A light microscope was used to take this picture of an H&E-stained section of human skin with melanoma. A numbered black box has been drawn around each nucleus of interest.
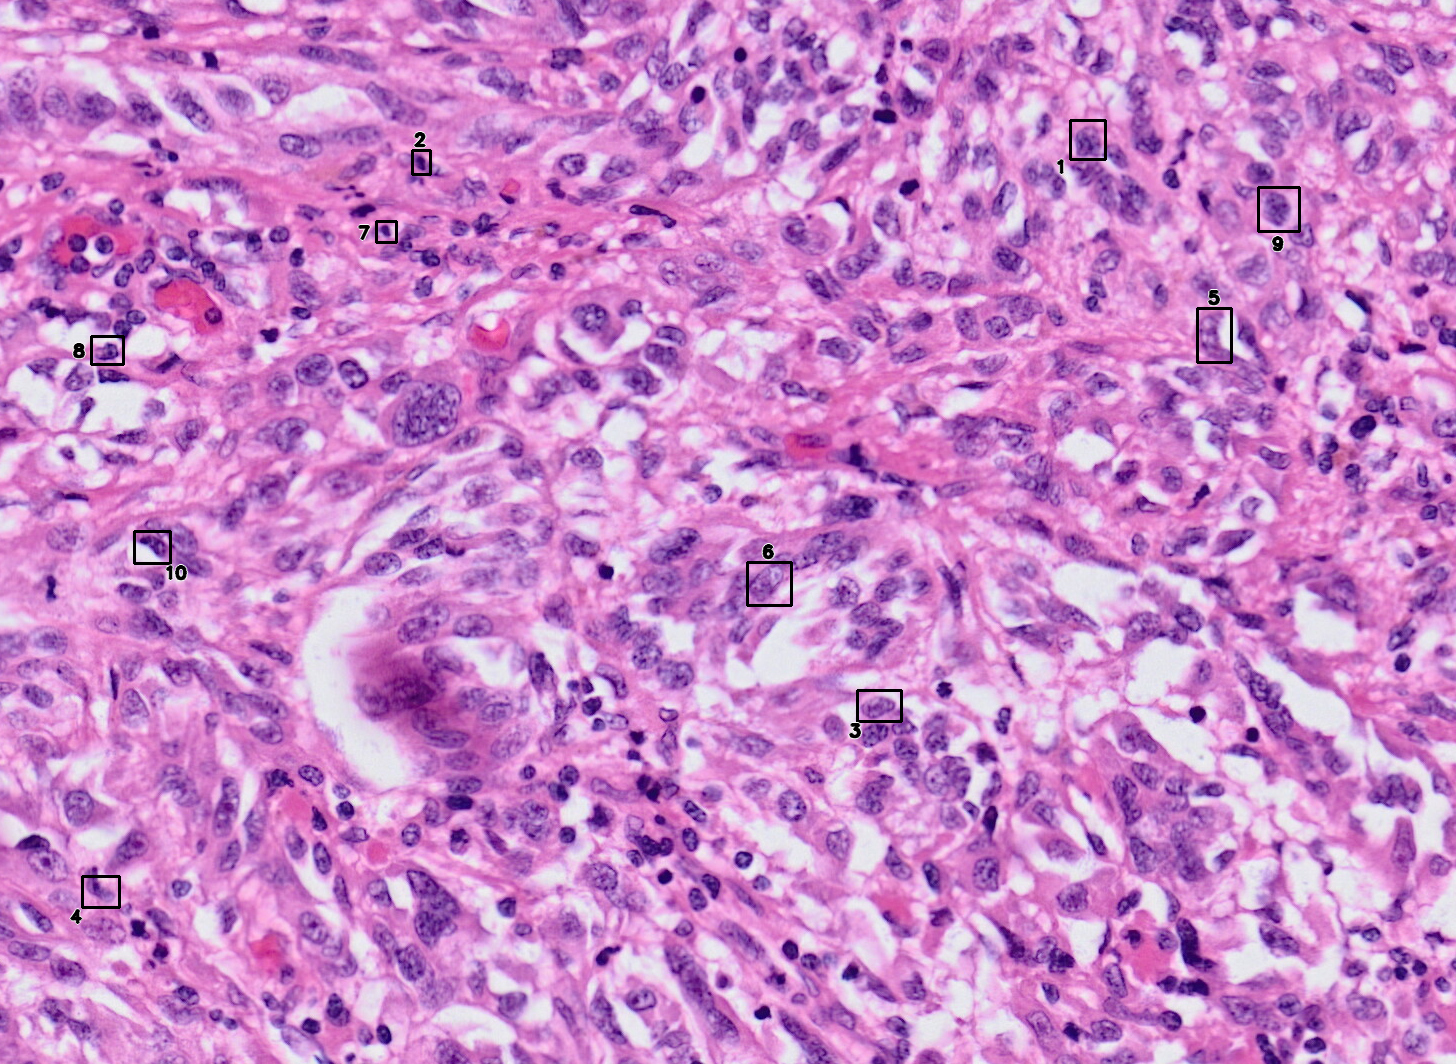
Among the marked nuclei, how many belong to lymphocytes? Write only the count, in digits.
3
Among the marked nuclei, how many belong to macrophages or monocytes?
1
